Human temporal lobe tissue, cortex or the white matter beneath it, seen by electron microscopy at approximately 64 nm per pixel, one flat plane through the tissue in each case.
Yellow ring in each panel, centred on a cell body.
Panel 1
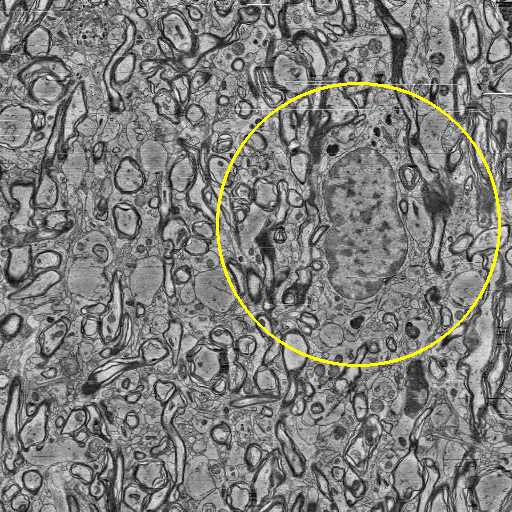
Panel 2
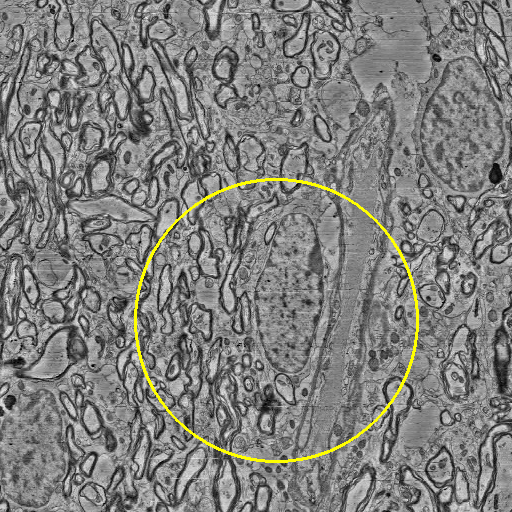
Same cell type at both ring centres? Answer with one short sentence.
Yes, both cells are of the same type.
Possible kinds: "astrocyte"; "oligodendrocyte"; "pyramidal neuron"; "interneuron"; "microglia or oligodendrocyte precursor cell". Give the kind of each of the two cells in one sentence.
The cell in the first picture is a microglial cell or oligodendrocyte precursor cell, and so is the one in the second.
